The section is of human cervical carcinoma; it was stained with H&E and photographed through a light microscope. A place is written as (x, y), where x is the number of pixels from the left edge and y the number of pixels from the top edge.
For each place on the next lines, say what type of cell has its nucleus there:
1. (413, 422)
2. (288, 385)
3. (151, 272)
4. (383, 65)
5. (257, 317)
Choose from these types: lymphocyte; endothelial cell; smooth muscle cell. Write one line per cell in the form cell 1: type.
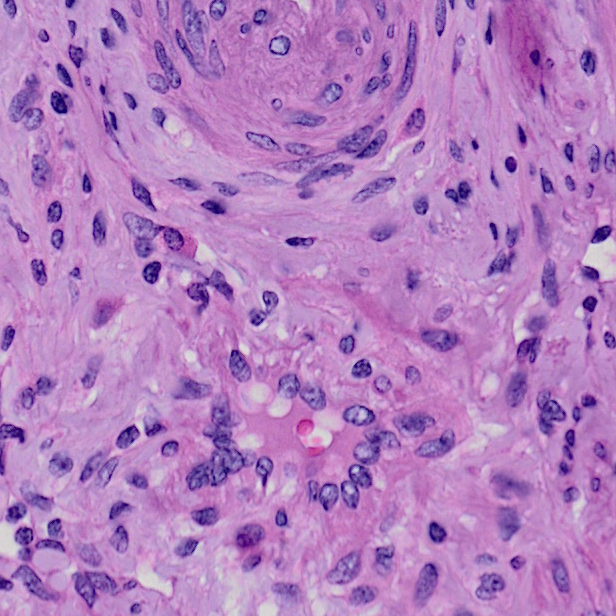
cell 1: endothelial cell
cell 2: endothelial cell
cell 3: lymphocyte
cell 4: smooth muscle cell
cell 5: lymphocyte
